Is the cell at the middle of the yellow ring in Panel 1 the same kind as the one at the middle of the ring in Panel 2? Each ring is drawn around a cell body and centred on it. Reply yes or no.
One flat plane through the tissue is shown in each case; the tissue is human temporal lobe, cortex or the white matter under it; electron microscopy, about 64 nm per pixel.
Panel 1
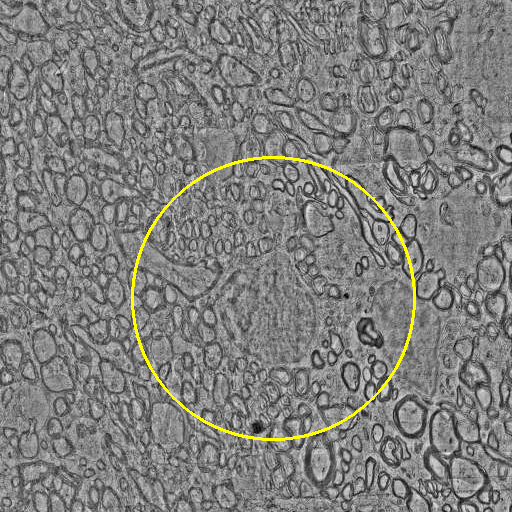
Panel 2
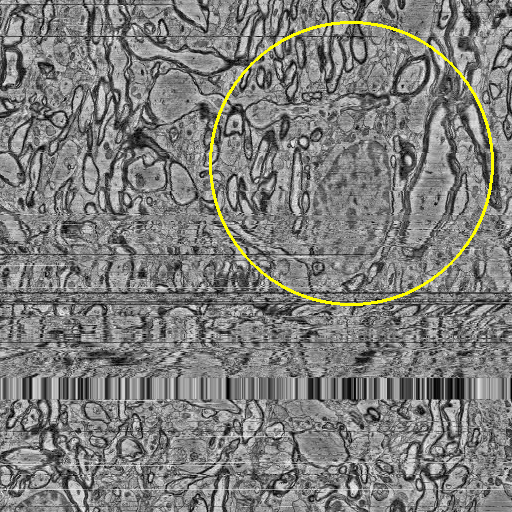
no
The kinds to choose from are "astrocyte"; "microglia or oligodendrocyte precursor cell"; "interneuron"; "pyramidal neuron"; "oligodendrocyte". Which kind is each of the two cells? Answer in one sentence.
Of the two, the first cell is a microglial cell or oligodendrocyte precursor cell and the second cell is an oligodendrocyte.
